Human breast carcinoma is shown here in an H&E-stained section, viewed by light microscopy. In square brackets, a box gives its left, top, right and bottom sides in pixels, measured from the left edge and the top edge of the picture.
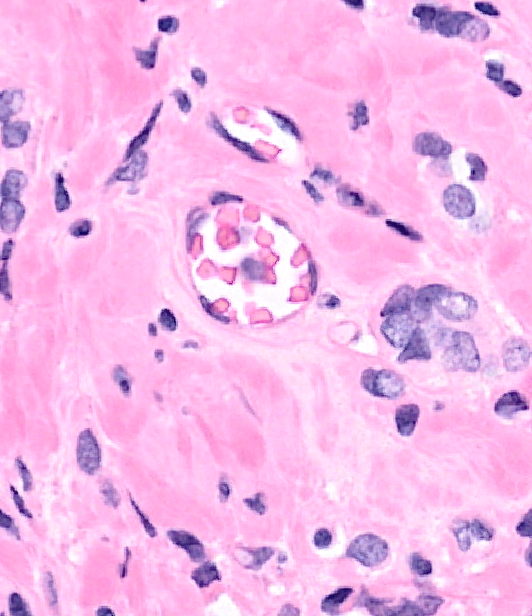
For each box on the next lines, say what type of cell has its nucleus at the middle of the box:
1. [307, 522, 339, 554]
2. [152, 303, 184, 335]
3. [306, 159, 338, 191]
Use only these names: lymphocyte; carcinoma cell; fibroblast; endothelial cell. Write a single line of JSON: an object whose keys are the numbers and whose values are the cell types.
{"1": "lymphocyte", "2": "lymphocyte", "3": "endothelial cell"}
